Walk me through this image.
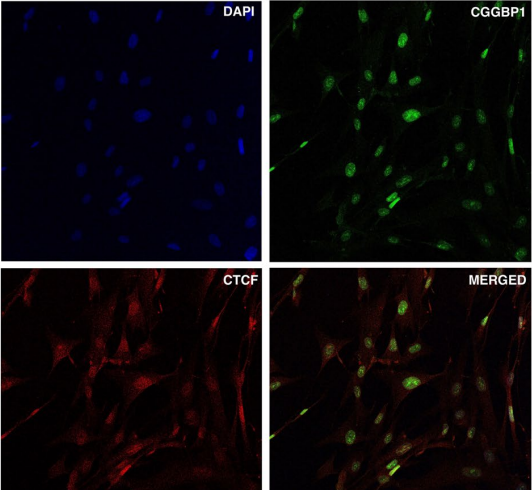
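A loose monolayer of elongated, spindle-shaped fibroblasts with long tapering processes, each with a single oval nucleus. The green signal is concentrated in the nuclei, while the red signal fills both the nuclei and the cytoplasm and outlines the cell bodies and processes. In the merged image the nuclei appear green-yellow against red cytoplasm.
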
